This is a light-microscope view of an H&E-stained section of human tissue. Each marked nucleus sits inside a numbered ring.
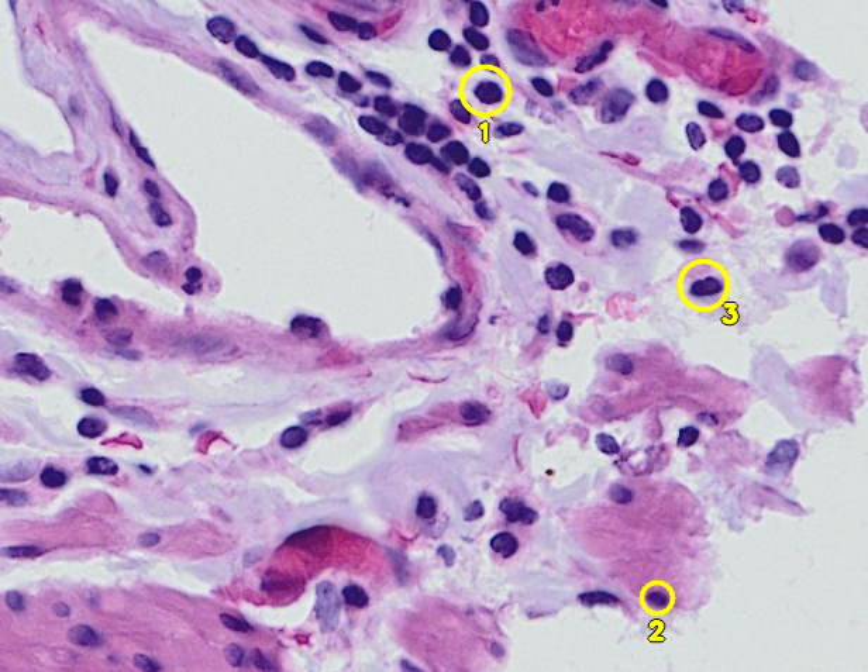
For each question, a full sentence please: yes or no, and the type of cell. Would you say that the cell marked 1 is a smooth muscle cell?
No, the cell given number 1 is a lymphocyte, not a smooth muscle cell.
